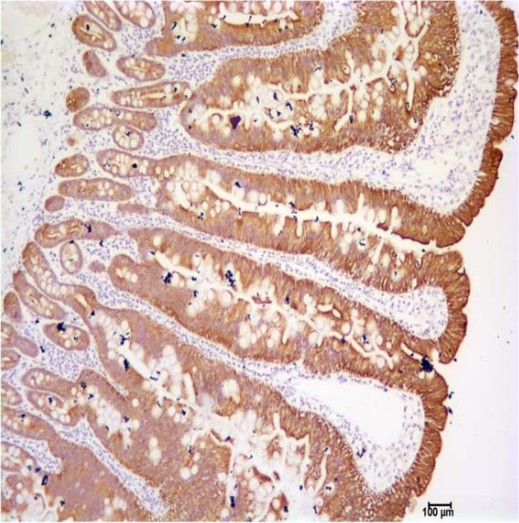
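The folds extend from the left towards the lumen at the right. Each is covered by a continuous layer of brown-stained columnar cells, among which are scattered pale, rounded mucus vacuoles. Crypt-like epithelial tubes cut in various planes lie towards the base on the left. The cores of the folds and the tissue between the crypts are made of loose connective tissue with many small cells showing blue nuclei and no brown stain. Narrow pale clefts separate neighbouring folds.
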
